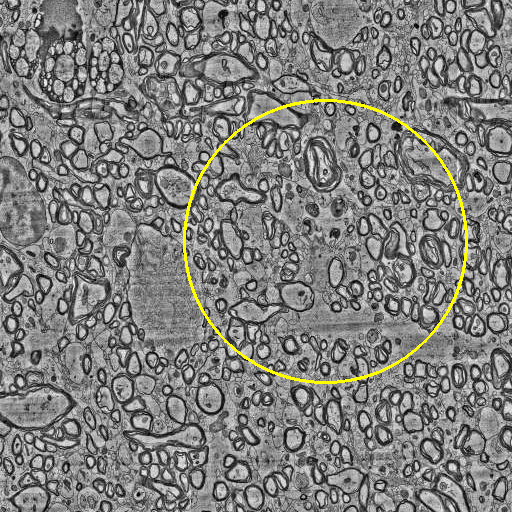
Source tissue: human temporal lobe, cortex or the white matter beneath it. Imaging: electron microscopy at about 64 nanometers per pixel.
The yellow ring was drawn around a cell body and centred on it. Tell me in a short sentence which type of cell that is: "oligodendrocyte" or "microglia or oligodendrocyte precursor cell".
The cell at the ring's centre is an oligodendrocyte.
